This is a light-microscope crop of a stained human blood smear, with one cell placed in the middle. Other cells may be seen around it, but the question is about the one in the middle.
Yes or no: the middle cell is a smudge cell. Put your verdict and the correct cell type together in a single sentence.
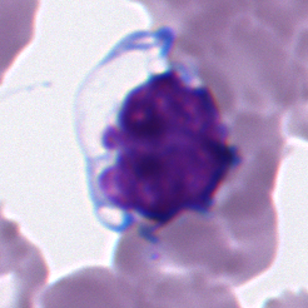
No, the middle one is a typical lymphocyte rather than a smudge cell.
